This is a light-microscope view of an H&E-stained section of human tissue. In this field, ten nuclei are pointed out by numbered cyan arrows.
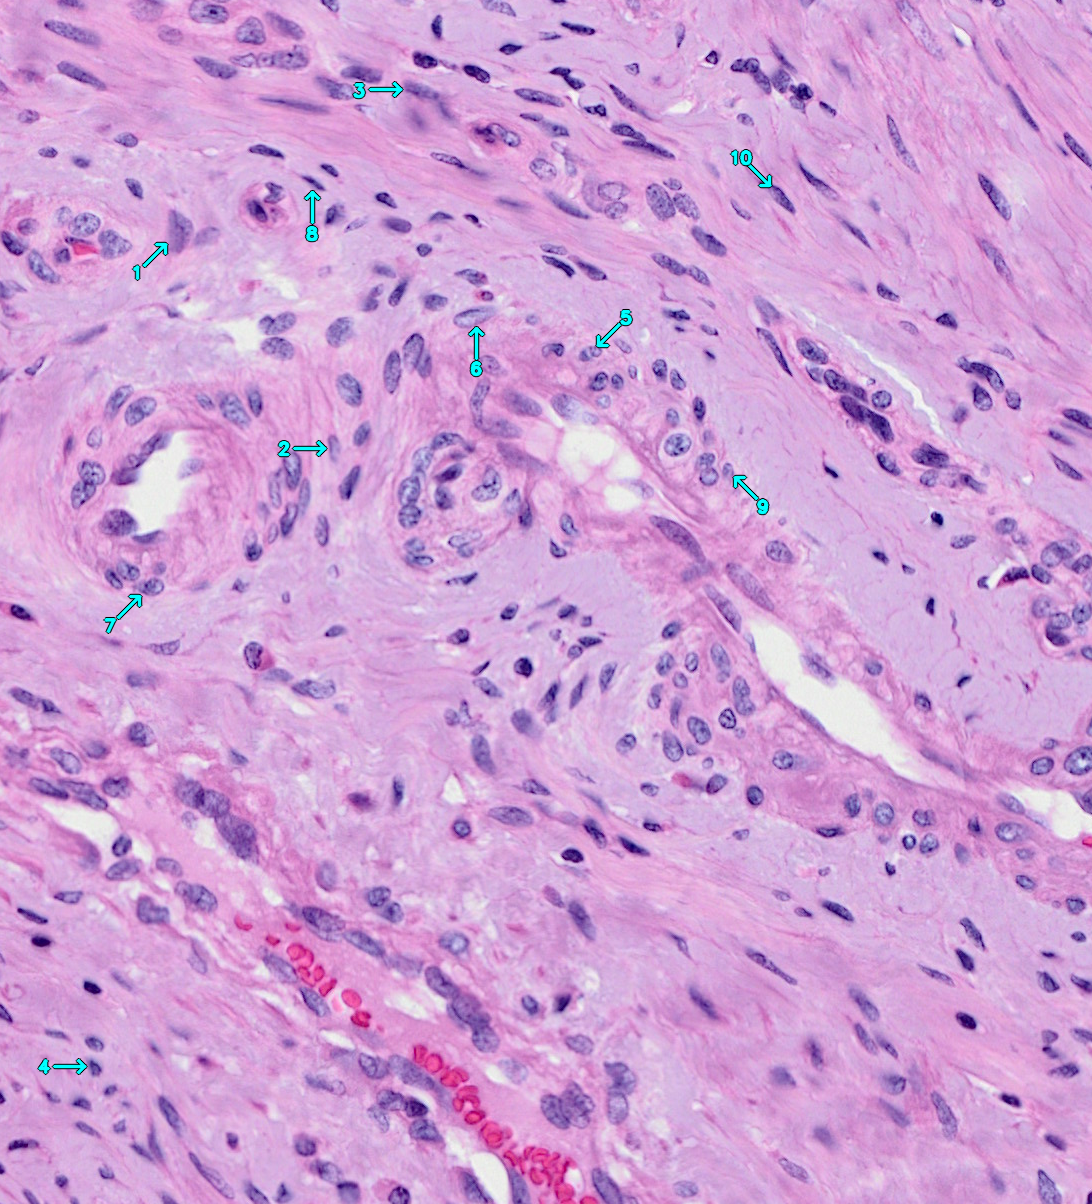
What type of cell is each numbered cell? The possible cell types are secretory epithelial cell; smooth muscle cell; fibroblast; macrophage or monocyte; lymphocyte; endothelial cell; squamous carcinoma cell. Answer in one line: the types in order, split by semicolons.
fibroblast; smooth muscle cell; fibroblast; fibroblast; smooth muscle cell; smooth muscle cell; smooth muscle cell; fibroblast; smooth muscle cell; fibroblast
